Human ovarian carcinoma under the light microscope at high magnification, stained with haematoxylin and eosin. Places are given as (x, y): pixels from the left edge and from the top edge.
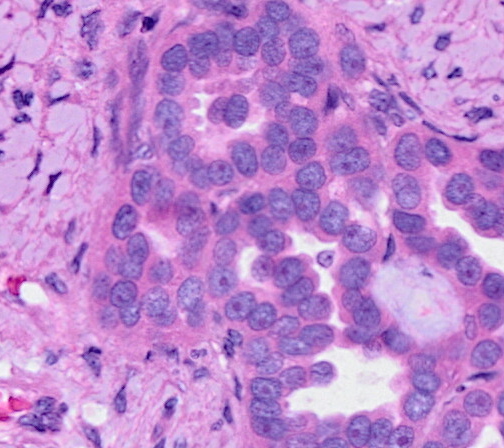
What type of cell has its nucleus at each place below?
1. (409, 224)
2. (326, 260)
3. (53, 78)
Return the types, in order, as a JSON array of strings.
["carcinoma cell", "macrophage or monocyte", "fibroblast"]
